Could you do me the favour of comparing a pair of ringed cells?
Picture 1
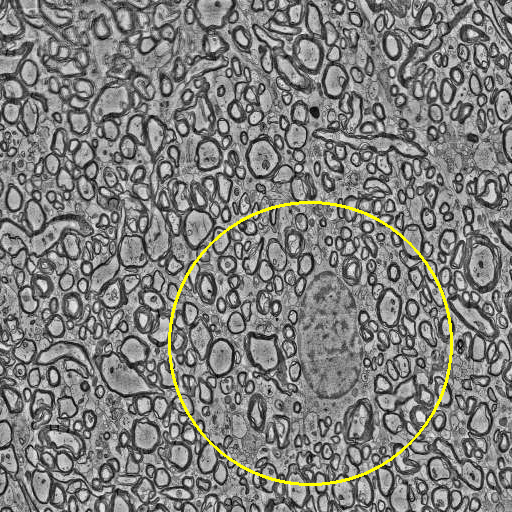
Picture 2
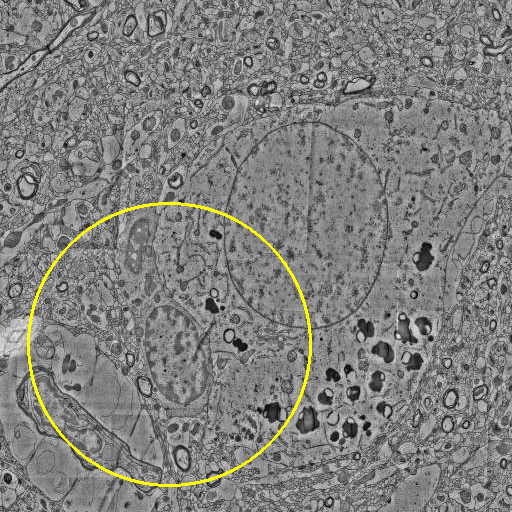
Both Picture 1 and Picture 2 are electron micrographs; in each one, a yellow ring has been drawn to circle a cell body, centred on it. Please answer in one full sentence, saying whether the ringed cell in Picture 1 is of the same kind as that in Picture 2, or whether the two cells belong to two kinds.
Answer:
The ringed cell in Picture 1 is of the same kind as that in Picture 2.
